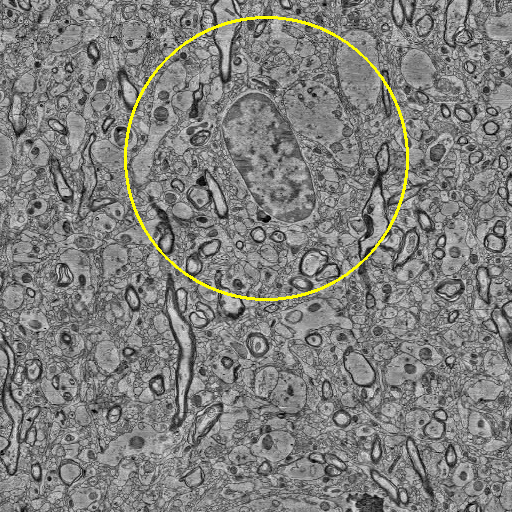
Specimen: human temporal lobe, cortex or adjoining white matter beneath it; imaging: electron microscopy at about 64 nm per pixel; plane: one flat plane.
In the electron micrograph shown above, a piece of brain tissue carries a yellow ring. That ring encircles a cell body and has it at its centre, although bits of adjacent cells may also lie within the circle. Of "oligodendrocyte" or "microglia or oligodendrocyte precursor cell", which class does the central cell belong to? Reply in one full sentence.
The cell body at the centre of the yellow ring belongs to a microglial cell or oligodendrocyte precursor cell.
